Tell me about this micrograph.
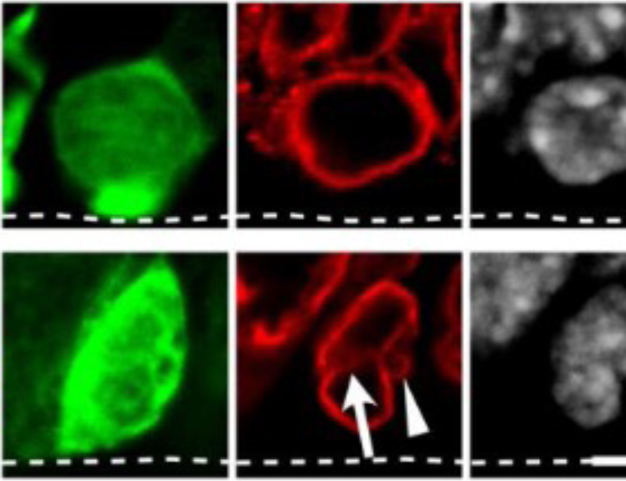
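These are single progenitor cells near a dashed border line, each shown with its green cell body, the red rim of its nuclear envelope and its white-stained chromatin. In the upper row the nucleus is round and its red rim forms a smooth, continuous ring. In the lower row the cell is more elongated and its nuclear rim folds inward, giving a lobed, notched nucleus, with an arrow and an arrowhead marking the infolding. The chromatin follows the same indented outline.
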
